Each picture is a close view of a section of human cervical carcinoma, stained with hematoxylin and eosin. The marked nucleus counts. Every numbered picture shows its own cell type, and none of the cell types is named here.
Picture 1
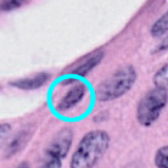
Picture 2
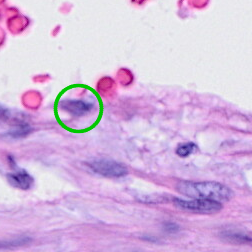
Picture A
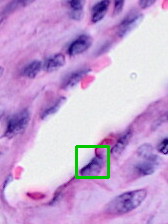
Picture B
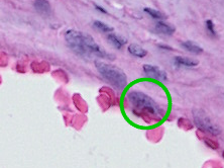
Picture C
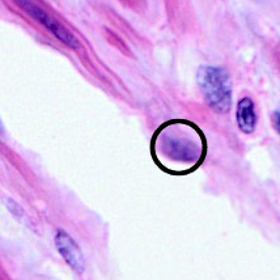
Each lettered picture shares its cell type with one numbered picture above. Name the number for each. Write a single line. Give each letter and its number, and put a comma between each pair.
A 2, B 2, C 2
